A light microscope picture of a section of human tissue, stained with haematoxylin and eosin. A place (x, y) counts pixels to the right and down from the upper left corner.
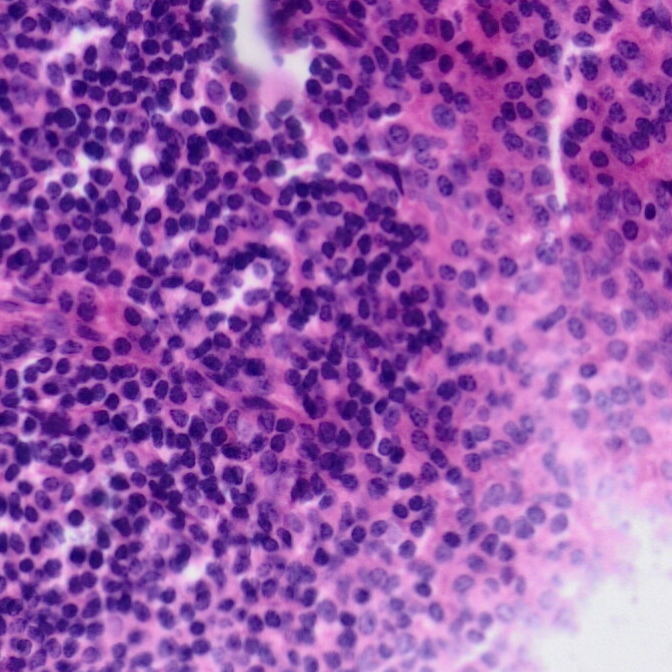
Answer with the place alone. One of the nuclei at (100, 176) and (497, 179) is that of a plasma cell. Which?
(497, 179)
